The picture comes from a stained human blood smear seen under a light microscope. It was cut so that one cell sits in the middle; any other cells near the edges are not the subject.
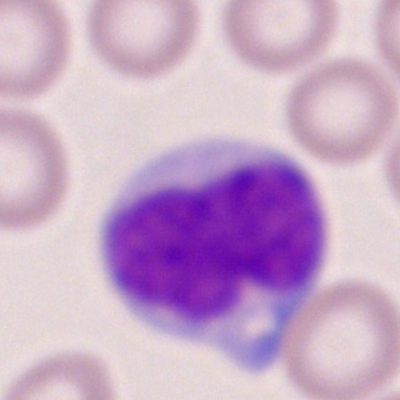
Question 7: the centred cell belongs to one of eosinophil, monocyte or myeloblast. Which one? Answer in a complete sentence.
The cell of interest, located centrally, is a monocyte.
